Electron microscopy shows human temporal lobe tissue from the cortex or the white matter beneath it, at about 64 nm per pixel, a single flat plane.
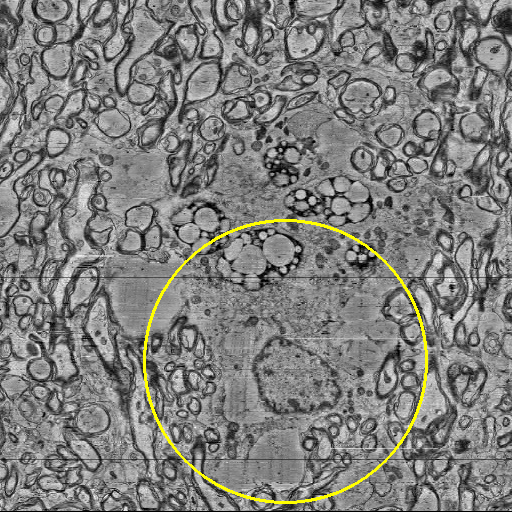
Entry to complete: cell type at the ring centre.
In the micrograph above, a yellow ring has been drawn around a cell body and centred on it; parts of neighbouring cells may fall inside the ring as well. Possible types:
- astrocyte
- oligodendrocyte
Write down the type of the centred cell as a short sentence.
The ring is centred on an astrocyte.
